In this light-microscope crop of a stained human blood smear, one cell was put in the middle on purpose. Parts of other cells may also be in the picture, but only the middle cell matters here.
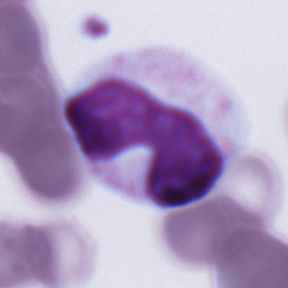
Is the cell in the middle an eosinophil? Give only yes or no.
no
